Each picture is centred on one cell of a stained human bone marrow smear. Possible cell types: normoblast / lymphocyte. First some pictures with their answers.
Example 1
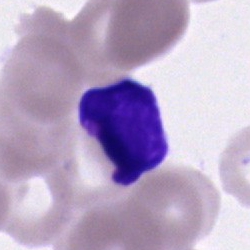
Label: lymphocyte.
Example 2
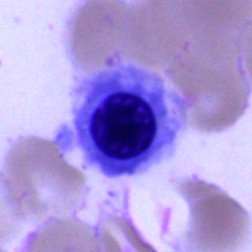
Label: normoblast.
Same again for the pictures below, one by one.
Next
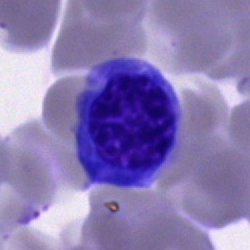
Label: normoblast.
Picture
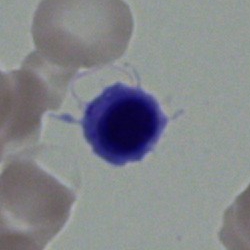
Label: normoblast.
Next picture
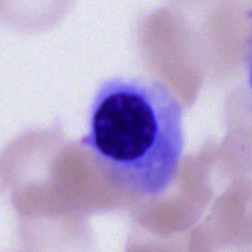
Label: normoblast.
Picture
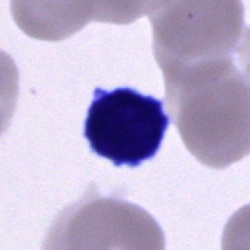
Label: lymphocyte.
